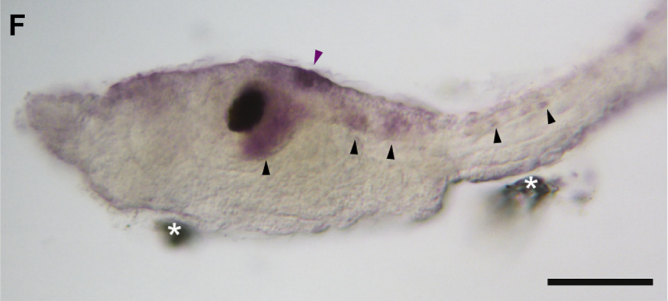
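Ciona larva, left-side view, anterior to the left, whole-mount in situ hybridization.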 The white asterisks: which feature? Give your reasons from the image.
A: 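Dark irregular clumps sit on the outer ventral surface of the specimen. They lie outside the body tissue and are unlike the stained cells. So: dusty materials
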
